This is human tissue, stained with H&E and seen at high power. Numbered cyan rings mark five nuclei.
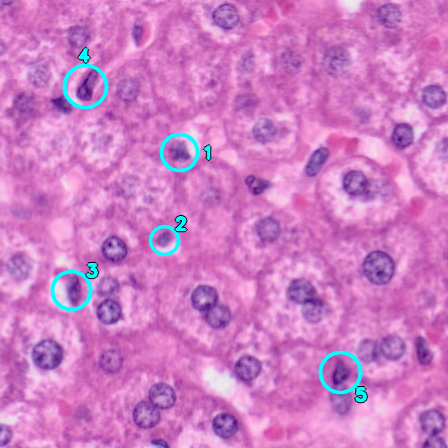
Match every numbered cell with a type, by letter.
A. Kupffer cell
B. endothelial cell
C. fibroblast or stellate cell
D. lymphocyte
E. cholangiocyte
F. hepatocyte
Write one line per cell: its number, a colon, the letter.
1: B
2: D
3: B
4: A
5: C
